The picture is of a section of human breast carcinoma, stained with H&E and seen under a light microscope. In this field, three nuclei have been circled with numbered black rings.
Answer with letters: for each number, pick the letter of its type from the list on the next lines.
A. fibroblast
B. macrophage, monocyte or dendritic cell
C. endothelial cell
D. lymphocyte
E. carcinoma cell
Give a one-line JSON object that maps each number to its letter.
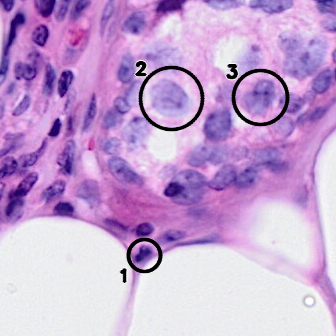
{"1": "D", "2": "E", "3": "E"}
